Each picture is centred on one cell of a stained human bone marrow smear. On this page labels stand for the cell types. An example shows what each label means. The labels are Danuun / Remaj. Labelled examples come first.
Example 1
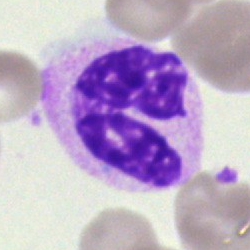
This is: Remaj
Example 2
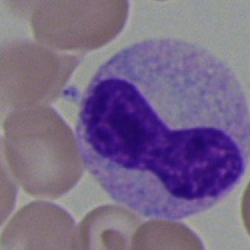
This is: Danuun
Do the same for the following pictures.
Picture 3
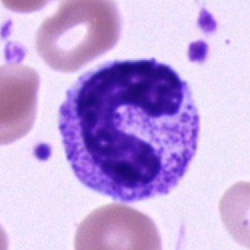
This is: Danuun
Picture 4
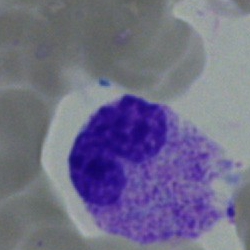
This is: Danuun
